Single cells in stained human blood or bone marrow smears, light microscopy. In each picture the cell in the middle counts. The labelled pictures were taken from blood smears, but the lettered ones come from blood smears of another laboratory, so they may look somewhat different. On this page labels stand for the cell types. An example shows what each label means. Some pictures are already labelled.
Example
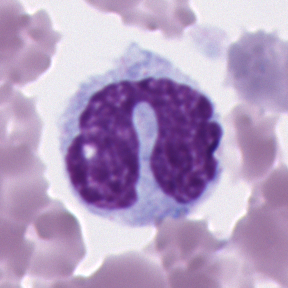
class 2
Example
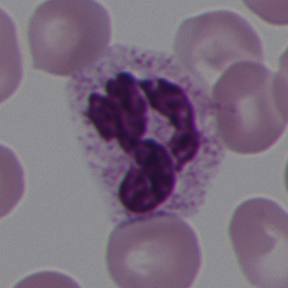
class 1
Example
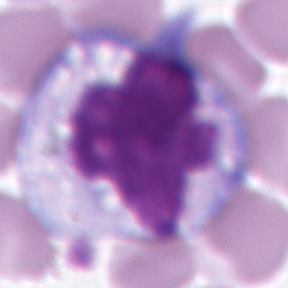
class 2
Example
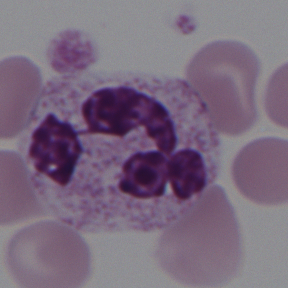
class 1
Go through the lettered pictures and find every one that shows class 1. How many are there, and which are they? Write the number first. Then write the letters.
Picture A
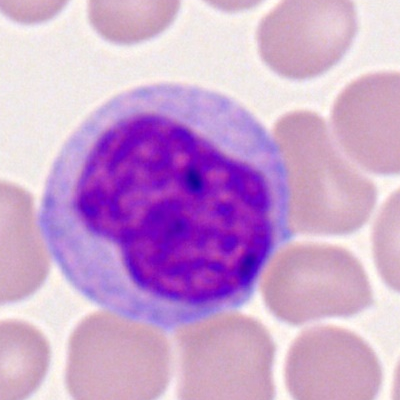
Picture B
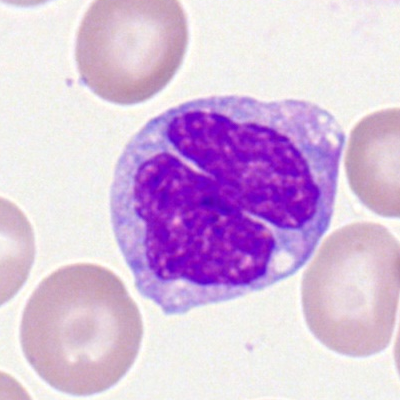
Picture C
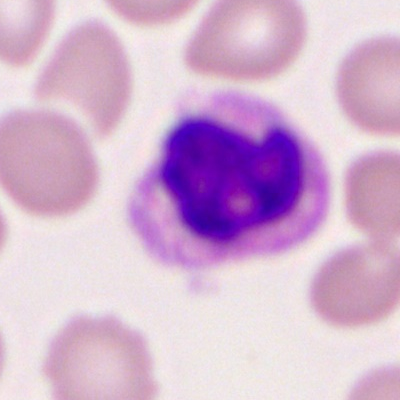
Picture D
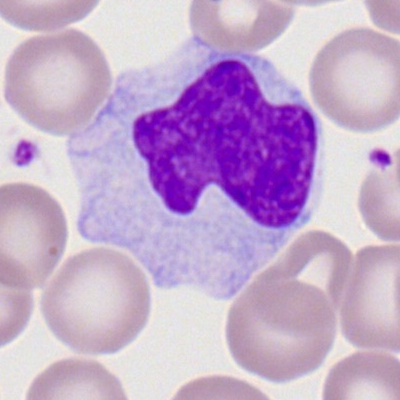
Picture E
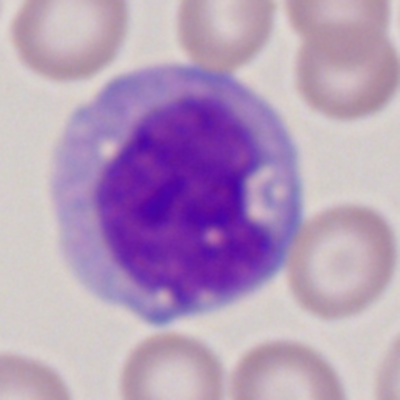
Count: 1 (C)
